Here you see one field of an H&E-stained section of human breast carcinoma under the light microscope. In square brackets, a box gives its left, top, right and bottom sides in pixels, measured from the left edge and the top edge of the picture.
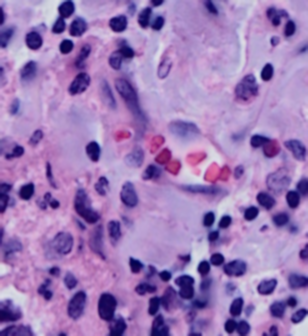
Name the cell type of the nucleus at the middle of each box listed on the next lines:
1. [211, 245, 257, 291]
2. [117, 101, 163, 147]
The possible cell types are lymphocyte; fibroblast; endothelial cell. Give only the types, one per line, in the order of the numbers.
lymphocyte
endothelial cell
